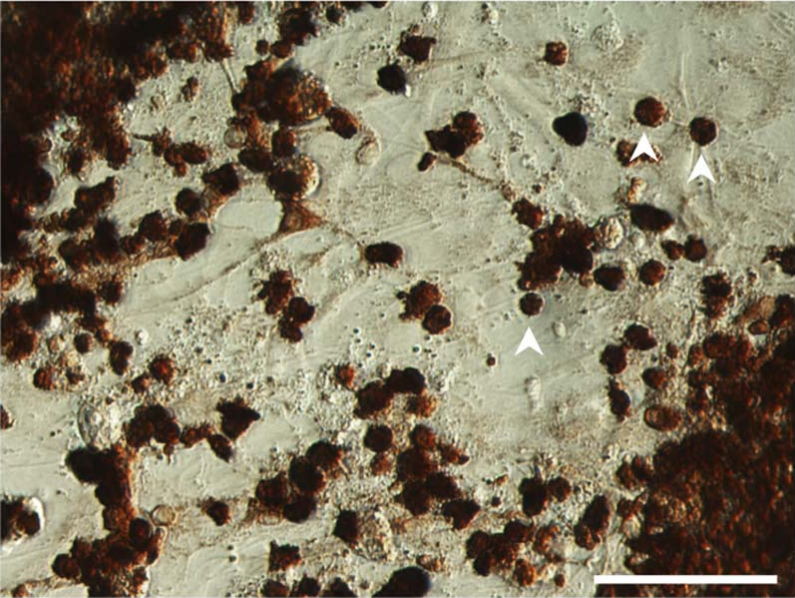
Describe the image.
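Many small, rounded, densely brown-stained cells lie singly and in clusters on a pale, flat bed of unstained cells, which show faint outlines and thin processes. Where the brown cells crowd together they form large confluent dark masses, especially at the upper left and lower right corners. Between the clusters, isolated round brown cells sit apart on the flat layer, and some thin brownish strands run between groups of cells. Small refractile granules and debris are scattered over the unstained background.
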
